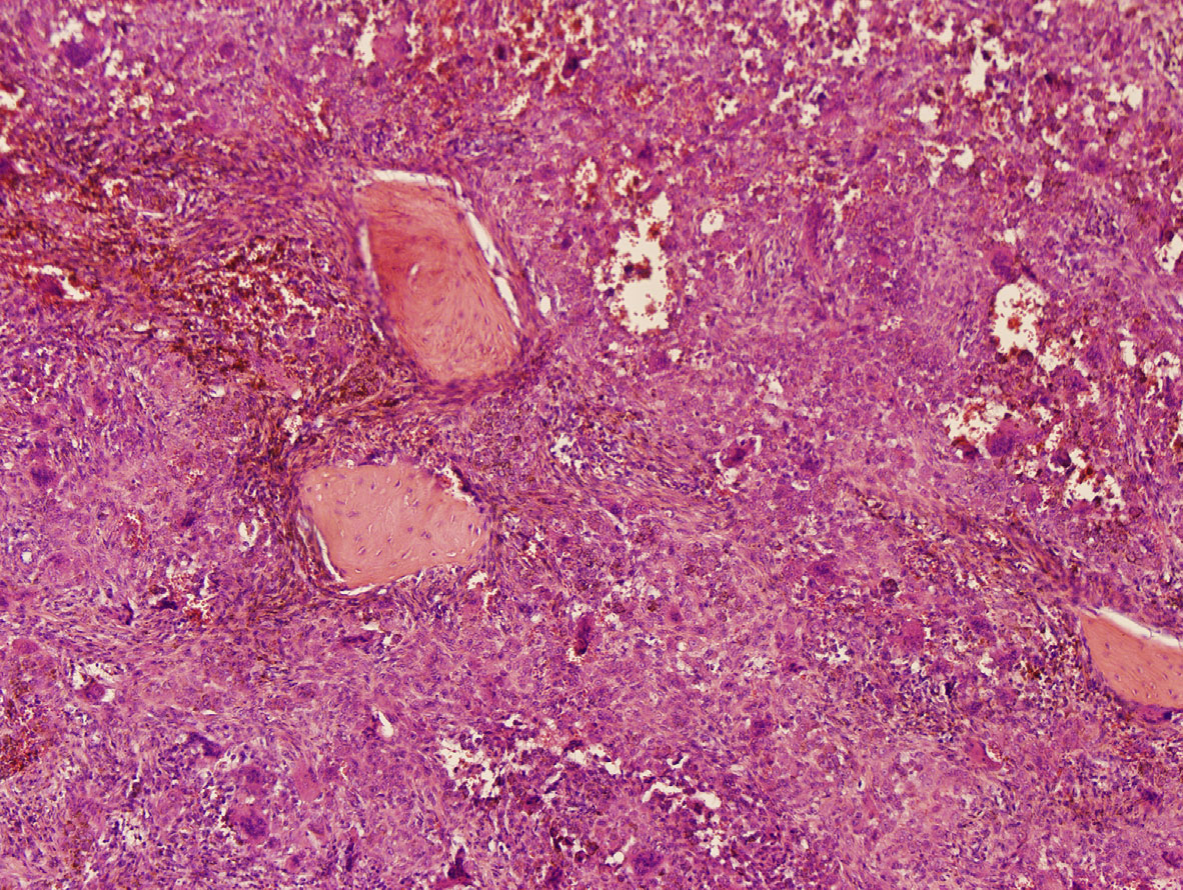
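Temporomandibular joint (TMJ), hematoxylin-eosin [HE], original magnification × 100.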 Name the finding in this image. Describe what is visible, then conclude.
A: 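Hemosiderin pigments. Brown to rust-coloured granular pigment lies in the tissue. The pigment is densest in the upper left of the field.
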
